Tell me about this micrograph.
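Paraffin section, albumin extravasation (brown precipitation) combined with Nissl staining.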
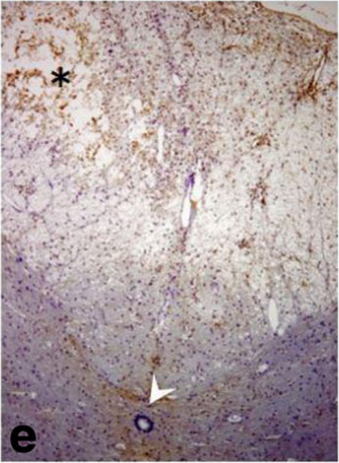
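In the upper left region, where the white matter has broken down, the brown deposit is dense and granular, lying among loosened, pale tissue. Brown streaks also run along the upper edge and follow vessels down through the middle. At the bottom, a small round canal with a dark ring lining sits in the midline, and a brownish haze surrounds it. Small clear vessel lumina are scattered through the section.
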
